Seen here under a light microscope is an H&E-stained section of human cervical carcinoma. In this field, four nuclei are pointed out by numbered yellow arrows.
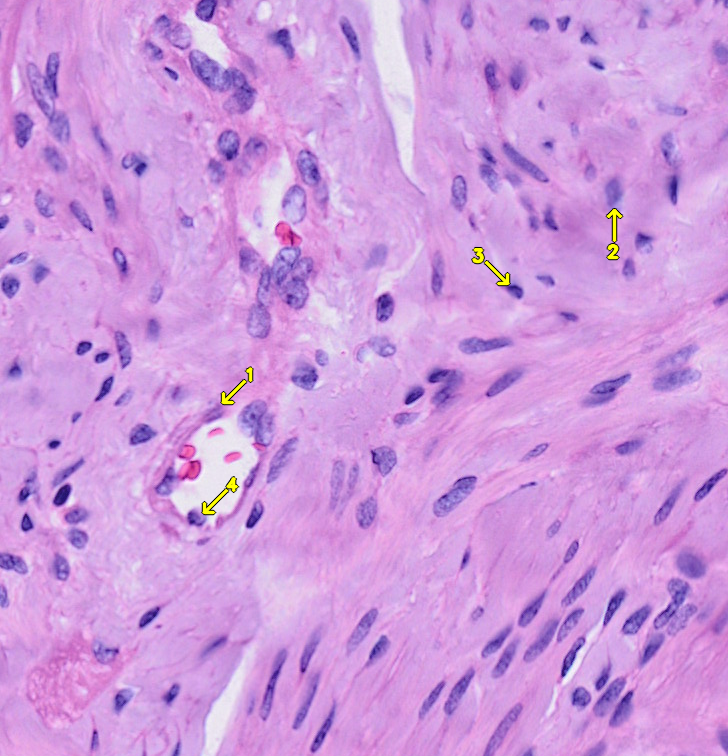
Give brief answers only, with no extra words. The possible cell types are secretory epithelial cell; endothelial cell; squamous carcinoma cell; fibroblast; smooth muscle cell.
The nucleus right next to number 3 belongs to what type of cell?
fibroblast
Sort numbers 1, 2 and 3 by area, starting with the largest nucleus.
2, 1, 3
